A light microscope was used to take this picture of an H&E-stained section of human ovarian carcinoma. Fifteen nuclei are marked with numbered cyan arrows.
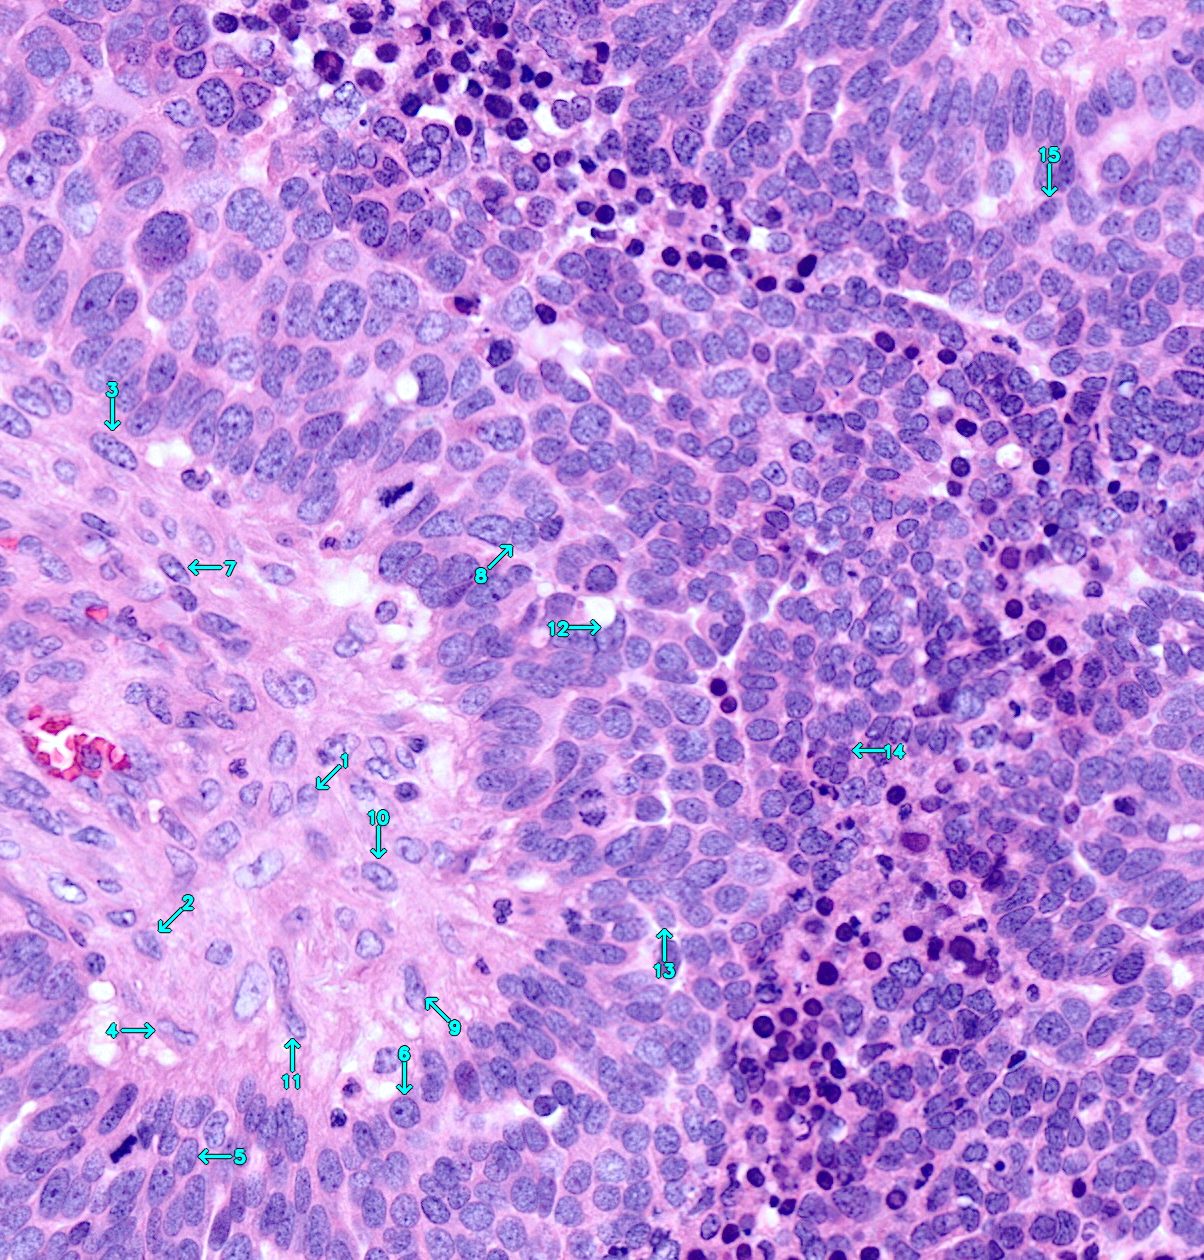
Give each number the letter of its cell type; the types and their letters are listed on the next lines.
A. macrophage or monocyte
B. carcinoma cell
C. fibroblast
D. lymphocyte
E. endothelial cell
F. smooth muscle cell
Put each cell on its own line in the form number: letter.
1: C
2: C
3: C
4: C
5: B
6: B
7: C
8: B
9: C
10: C
11: C
12: B
13: B
14: B
15: B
